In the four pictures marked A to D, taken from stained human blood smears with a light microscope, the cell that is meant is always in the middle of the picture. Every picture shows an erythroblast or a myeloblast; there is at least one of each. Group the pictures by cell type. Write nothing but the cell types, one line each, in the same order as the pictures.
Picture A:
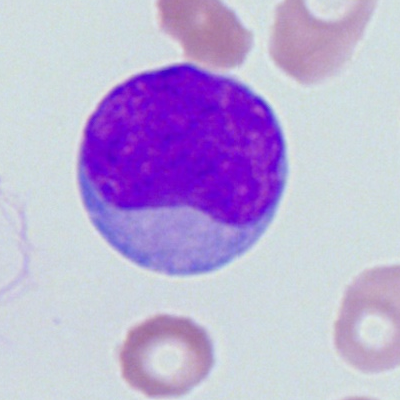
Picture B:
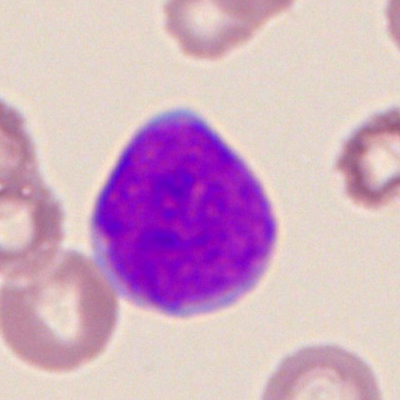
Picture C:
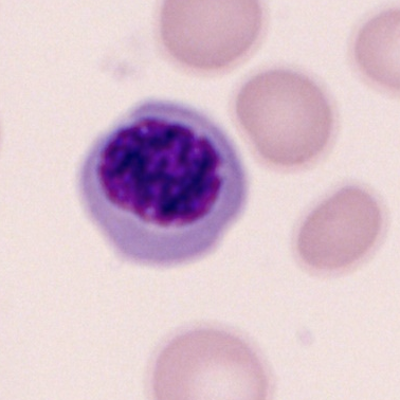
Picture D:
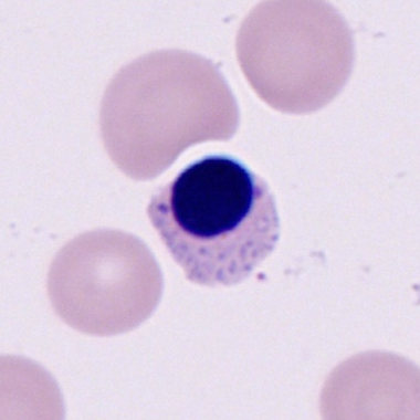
myeloblast
myeloblast
erythroblast
erythroblast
